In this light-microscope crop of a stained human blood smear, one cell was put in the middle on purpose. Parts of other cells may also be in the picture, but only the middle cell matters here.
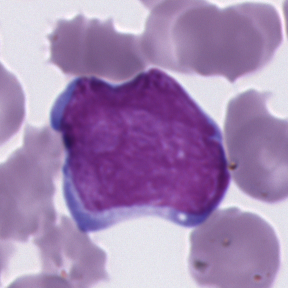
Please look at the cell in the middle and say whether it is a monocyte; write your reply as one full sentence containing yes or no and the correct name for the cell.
No, the label for the central cell is a myeloblast, not a monocyte.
